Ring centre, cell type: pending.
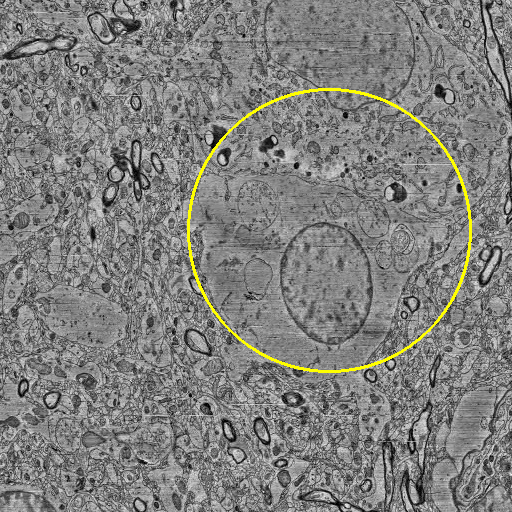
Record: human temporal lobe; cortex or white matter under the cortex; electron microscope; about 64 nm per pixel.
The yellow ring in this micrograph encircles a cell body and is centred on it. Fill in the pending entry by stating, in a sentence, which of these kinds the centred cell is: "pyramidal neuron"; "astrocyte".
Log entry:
The centred cell is recorded as an astrocyte.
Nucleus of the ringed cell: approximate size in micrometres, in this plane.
About 7 by 5 micrometres in this plane.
